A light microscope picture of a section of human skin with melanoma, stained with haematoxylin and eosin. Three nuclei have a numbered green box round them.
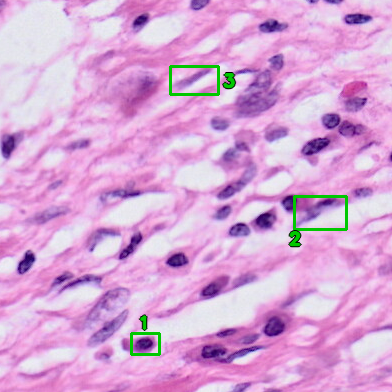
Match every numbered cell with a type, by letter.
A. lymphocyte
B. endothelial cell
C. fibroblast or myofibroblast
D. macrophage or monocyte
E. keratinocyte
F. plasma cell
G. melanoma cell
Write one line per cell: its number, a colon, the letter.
1: F
2: C
3: C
